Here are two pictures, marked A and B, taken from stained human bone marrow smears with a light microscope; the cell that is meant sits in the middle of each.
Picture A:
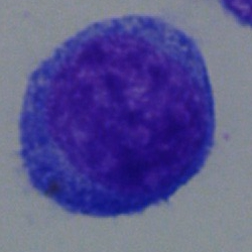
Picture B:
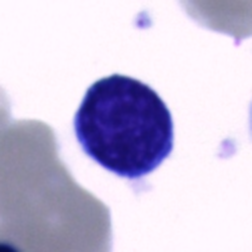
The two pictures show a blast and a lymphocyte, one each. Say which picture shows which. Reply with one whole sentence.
Picture B shows a lymphocyte, while picture A shows a blast.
